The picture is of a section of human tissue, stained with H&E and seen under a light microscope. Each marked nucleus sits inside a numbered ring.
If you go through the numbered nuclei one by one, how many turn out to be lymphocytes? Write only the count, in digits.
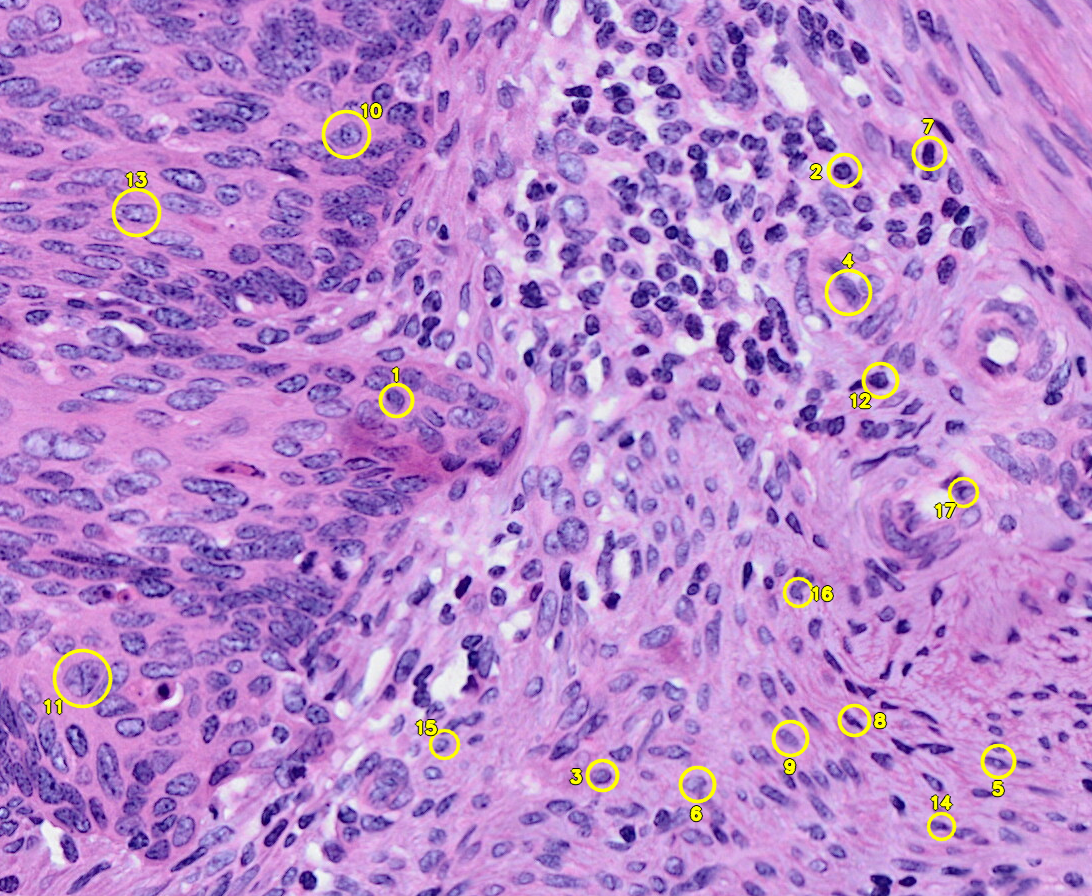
3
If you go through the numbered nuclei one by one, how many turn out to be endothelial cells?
2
